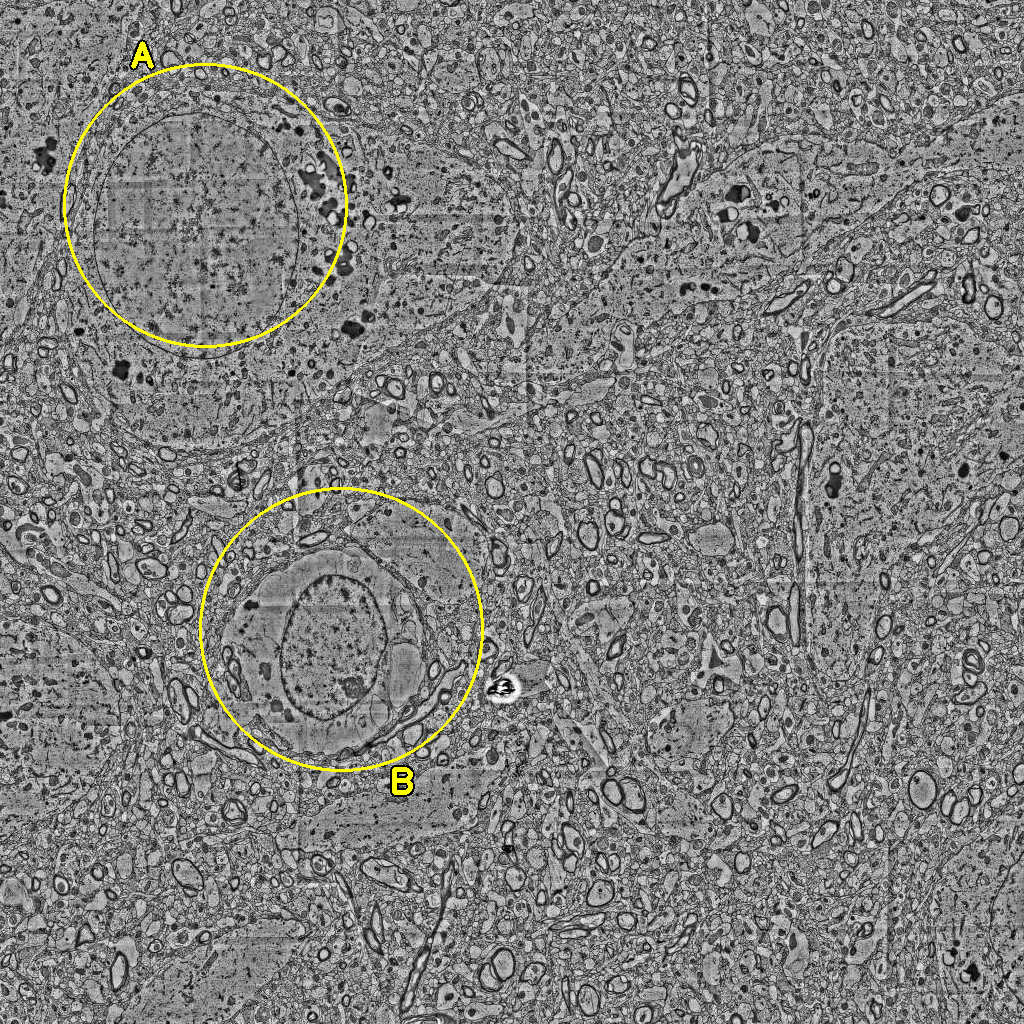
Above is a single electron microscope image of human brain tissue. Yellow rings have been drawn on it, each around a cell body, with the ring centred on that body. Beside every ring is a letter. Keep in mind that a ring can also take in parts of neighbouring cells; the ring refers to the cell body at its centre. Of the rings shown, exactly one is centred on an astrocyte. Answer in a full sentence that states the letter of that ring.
The cell at the centre of ring B is the one asked for.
